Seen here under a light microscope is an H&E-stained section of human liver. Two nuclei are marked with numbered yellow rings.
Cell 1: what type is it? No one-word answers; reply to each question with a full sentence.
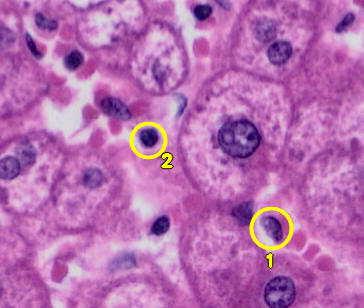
The cell numbered 1 has been identified as a Kupffer cell.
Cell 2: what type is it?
The identity of cell 2 is that of a lymphocyte.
